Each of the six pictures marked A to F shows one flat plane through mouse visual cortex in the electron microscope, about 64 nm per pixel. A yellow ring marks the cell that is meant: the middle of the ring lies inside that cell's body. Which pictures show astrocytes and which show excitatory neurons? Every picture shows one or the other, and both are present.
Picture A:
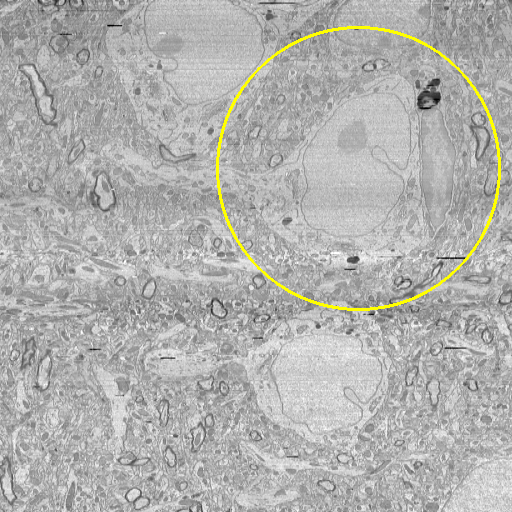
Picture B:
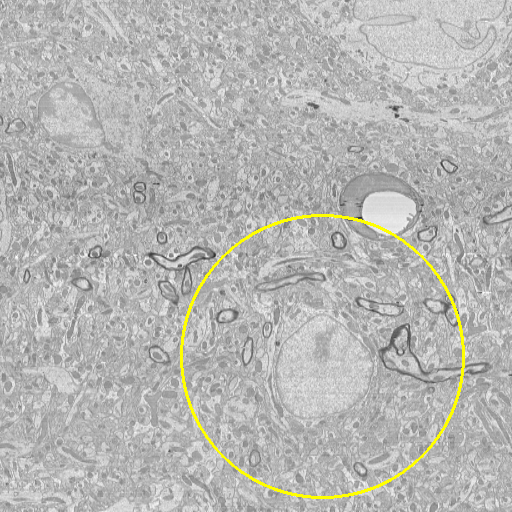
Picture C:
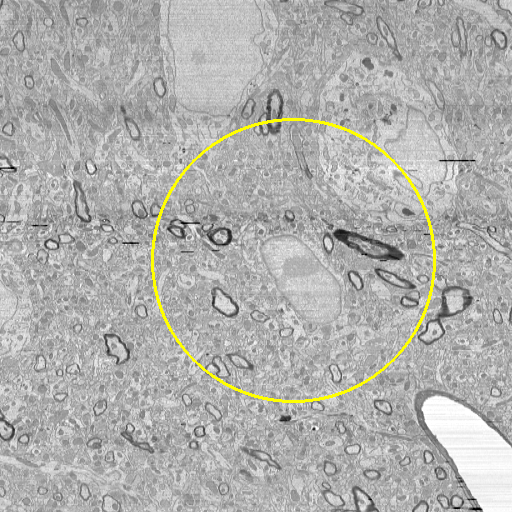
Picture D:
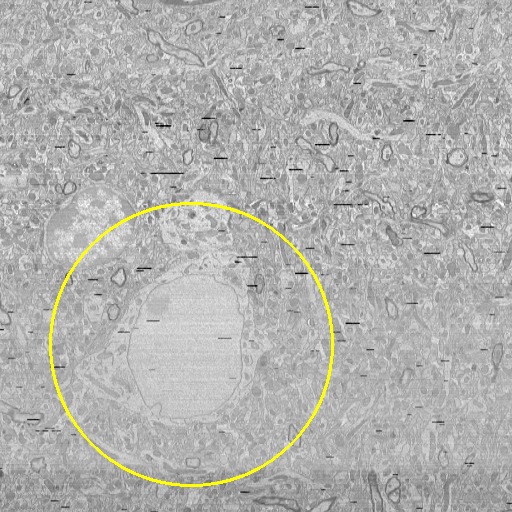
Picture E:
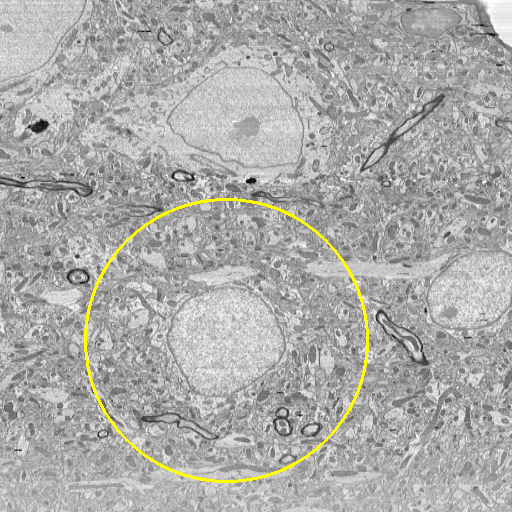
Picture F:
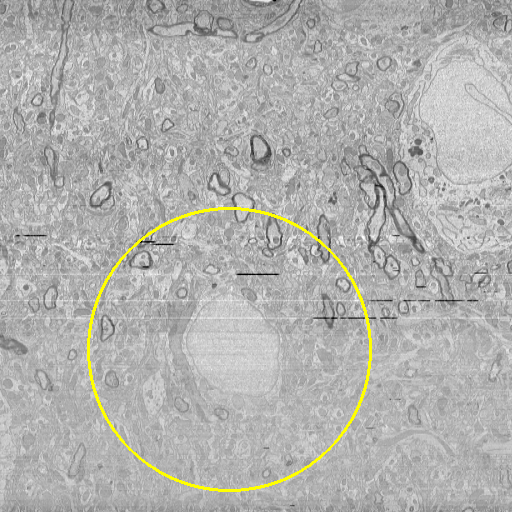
Pictures B, C, E and F show astrocytes; pictures A and D show excitatory neurons.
